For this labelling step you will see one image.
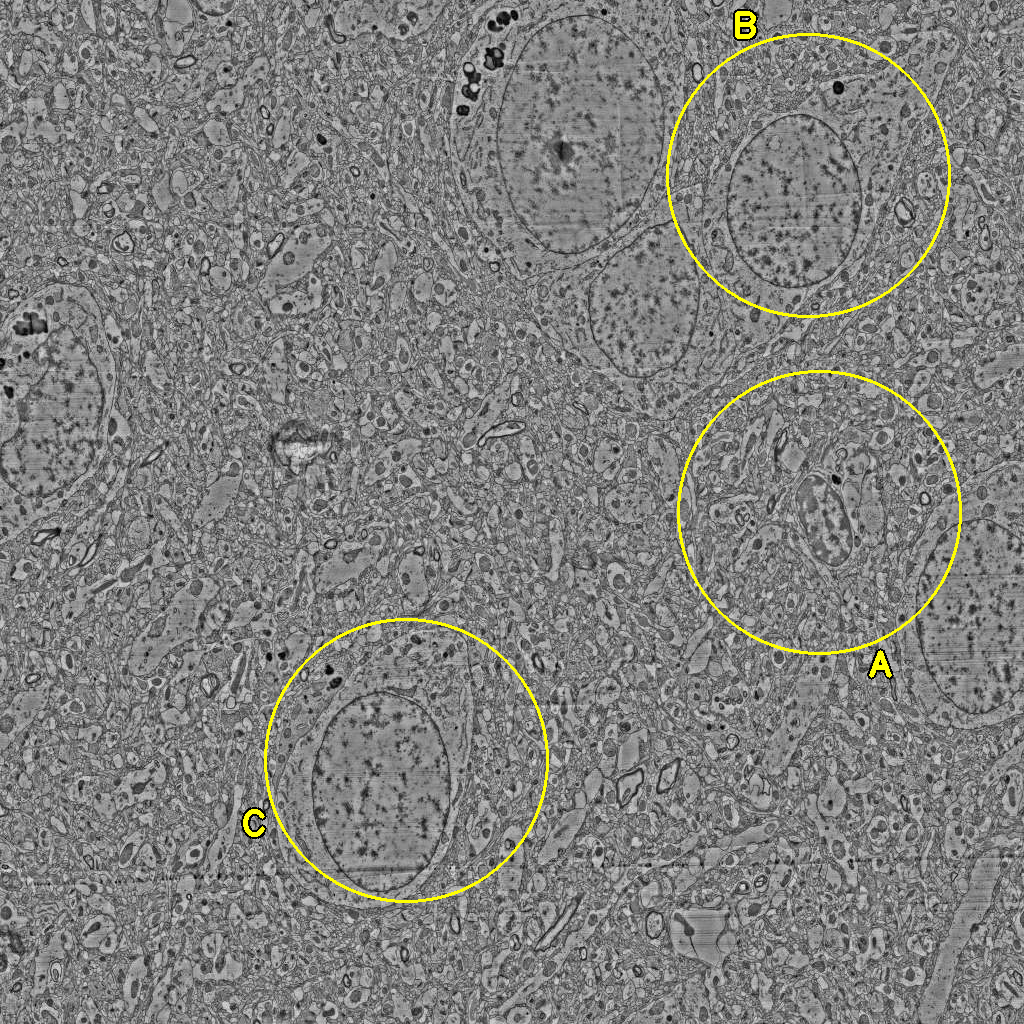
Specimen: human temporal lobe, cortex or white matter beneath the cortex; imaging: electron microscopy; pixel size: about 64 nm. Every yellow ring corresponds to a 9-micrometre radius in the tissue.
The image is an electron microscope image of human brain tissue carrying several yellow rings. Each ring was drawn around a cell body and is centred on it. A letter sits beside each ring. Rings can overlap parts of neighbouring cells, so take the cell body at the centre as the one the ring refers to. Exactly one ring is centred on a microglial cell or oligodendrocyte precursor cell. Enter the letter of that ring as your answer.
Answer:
A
